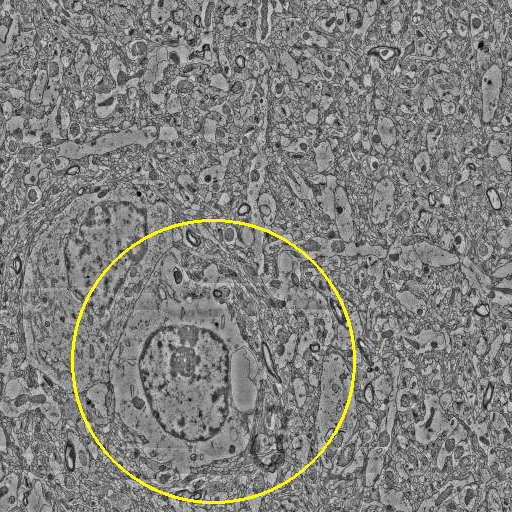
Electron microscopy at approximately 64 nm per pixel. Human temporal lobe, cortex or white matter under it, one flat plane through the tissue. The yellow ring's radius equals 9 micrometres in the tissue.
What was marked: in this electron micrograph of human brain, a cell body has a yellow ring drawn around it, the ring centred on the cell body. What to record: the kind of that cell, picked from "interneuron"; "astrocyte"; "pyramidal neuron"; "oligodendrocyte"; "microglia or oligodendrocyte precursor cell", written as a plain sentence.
The centred cell is an astrocyte.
